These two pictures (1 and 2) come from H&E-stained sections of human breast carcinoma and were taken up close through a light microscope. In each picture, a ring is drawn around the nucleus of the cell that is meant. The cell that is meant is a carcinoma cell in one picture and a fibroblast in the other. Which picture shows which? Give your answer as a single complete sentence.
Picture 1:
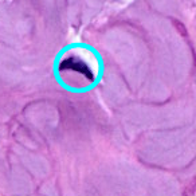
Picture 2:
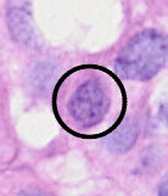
Picture 1 shows a fibroblast and picture 2 shows a carcinoma cell.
